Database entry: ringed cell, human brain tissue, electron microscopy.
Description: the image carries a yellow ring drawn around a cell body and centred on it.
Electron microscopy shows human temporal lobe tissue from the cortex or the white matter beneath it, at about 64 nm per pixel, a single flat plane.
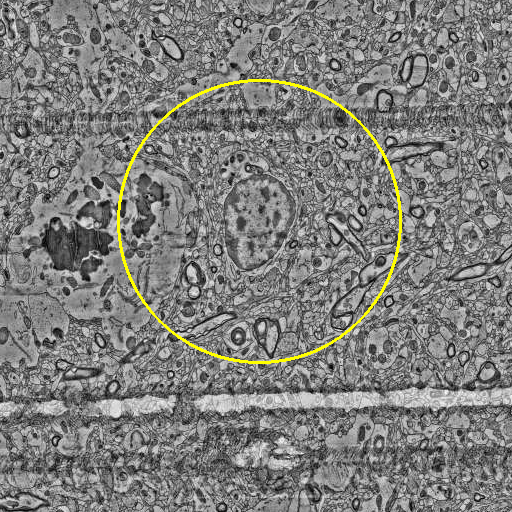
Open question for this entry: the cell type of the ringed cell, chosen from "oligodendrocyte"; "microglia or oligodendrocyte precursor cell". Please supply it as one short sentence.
The ringed cell is a microglial cell or oligodendrocyte precursor cell.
